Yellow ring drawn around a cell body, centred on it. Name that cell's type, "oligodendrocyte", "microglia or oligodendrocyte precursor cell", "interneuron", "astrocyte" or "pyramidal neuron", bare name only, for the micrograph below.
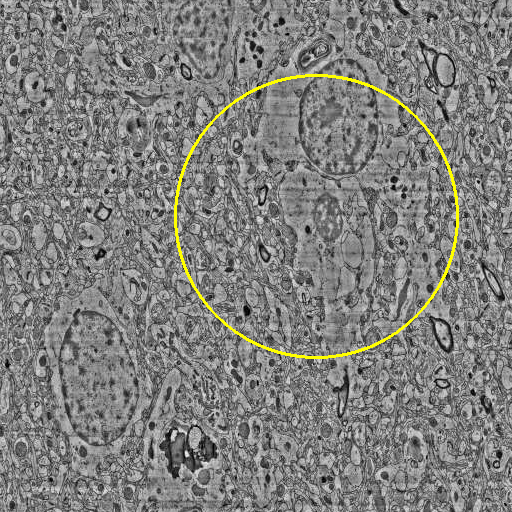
astrocyte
